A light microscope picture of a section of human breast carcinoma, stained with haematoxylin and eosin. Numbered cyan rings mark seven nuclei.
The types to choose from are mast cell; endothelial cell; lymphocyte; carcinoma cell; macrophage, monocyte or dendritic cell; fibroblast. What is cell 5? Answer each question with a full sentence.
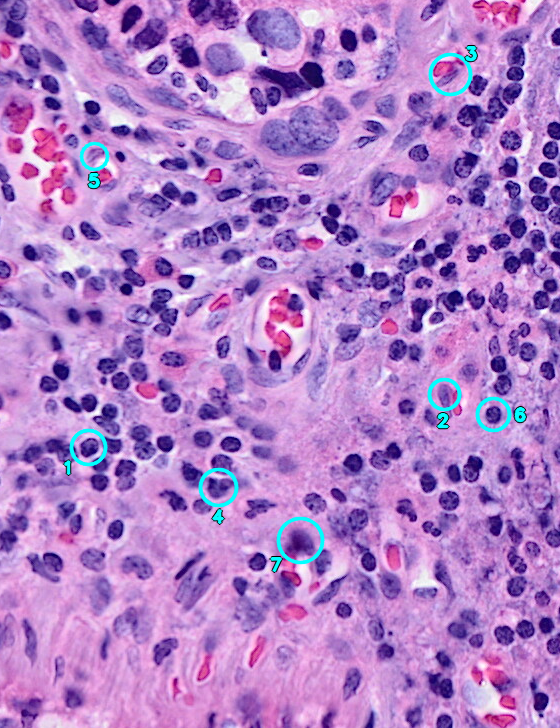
Nucleus 5 in this section belongs to an endothelial cell.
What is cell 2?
Cell 2 is classified as an endothelial cell.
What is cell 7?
The nucleus with number 7 is that of an endothelial cell.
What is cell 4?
The nucleus labelled 4 belongs to a lymphocyte.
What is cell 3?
The cell pointed out as number 3 is an endothelial cell.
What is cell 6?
Recognised here as a lymphocyte is the cell numbered 6.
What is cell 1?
The label 1 in this section denotes a lymphocyte.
